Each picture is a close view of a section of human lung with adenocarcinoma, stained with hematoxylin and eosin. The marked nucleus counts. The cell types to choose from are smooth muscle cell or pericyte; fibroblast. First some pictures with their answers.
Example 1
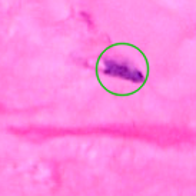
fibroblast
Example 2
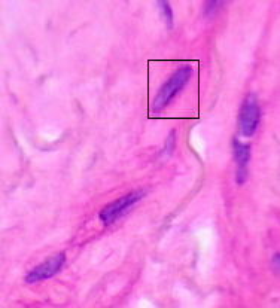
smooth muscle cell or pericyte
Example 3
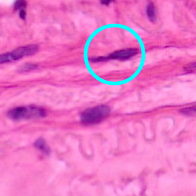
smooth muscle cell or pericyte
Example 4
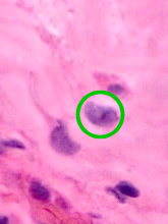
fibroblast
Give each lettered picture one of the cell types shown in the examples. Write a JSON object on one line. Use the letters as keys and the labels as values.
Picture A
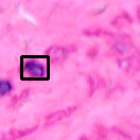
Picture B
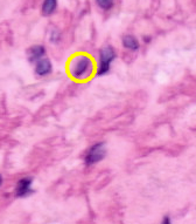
{"A": "smooth muscle cell or pericyte", "B": "smooth muscle cell or pericyte"}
